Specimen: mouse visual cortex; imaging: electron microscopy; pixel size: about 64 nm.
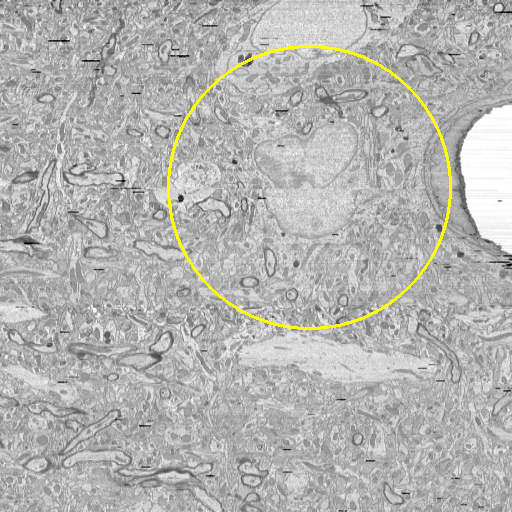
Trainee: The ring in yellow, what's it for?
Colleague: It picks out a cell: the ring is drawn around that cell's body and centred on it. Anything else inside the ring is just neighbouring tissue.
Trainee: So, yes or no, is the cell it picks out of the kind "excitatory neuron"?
no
